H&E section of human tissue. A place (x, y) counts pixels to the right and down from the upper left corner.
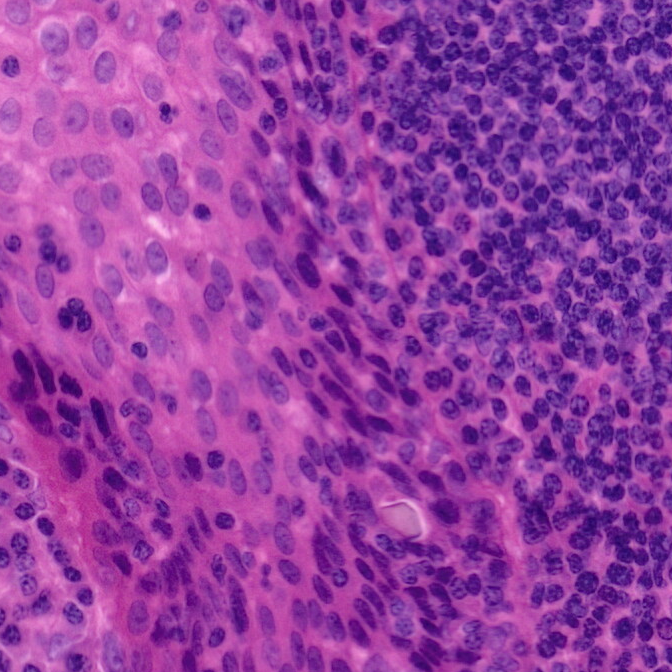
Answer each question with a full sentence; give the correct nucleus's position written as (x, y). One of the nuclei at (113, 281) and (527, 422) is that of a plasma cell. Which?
Among the two nuclei, the one lying at (527, 422) is part of a plasma cell.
